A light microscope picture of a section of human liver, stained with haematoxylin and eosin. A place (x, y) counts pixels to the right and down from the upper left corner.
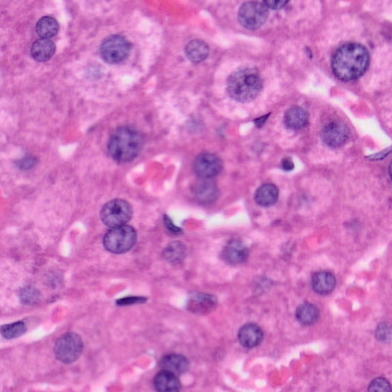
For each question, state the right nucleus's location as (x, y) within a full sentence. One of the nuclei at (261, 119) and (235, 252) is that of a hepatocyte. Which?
The nucleus at (235, 252) is the member of the pair belonging to a hepatocyte.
